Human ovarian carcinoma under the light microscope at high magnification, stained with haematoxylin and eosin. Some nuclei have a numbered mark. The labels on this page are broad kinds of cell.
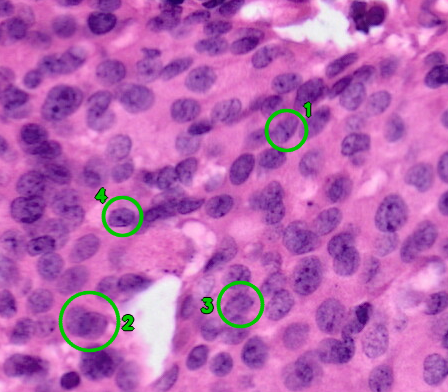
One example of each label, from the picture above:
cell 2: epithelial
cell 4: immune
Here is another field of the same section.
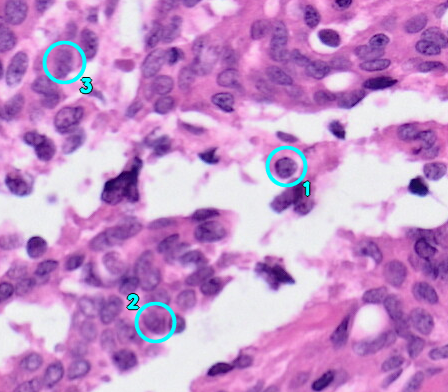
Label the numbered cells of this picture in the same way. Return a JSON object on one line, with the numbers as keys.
{"1": "immune", "2": "epithelial", "3": "epithelial"}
